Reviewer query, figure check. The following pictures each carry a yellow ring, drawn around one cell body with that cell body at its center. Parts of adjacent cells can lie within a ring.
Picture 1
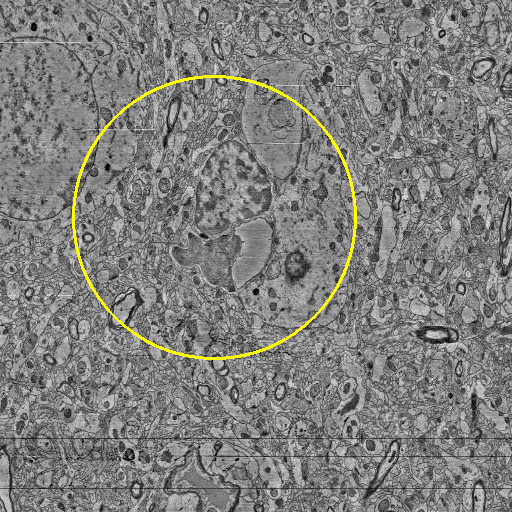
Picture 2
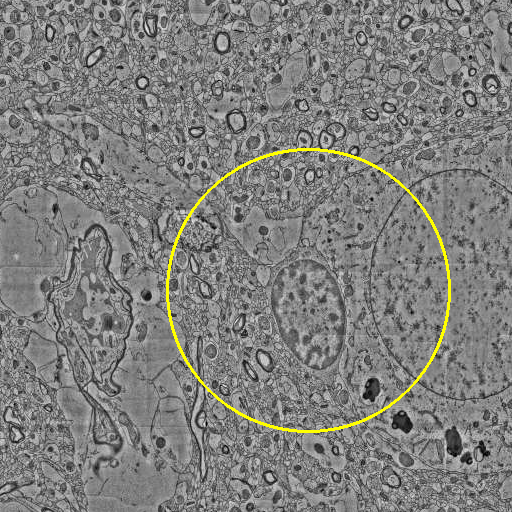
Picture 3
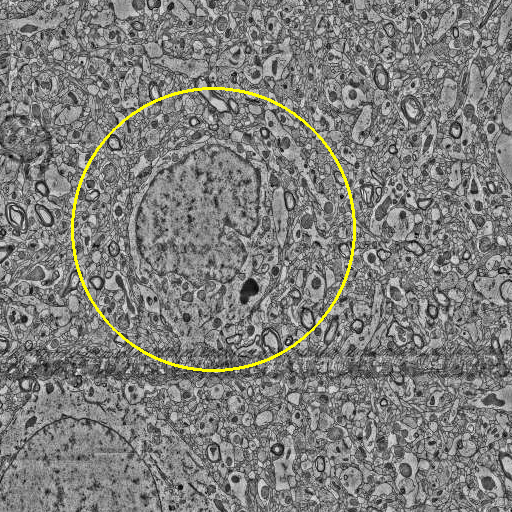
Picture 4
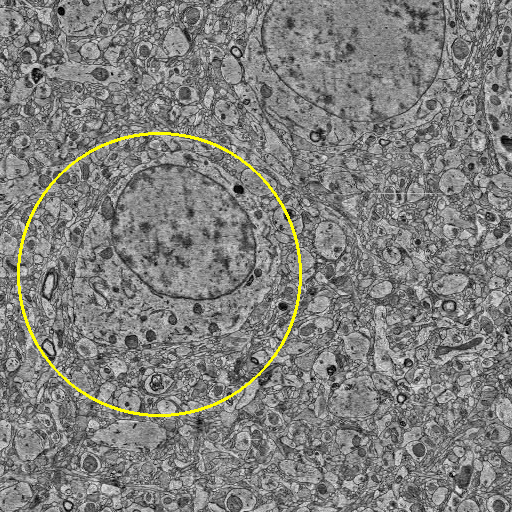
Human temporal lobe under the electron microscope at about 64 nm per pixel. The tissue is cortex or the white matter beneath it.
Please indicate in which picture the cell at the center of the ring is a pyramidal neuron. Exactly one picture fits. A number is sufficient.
4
